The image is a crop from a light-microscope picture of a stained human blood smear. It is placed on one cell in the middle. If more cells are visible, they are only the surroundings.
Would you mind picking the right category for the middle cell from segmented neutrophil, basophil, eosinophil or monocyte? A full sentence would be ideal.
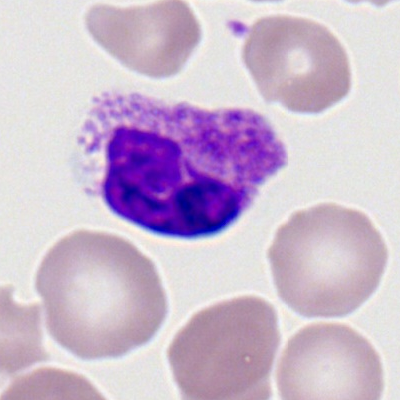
What the crop centres on is a basophil.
